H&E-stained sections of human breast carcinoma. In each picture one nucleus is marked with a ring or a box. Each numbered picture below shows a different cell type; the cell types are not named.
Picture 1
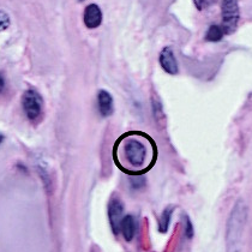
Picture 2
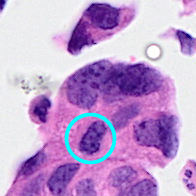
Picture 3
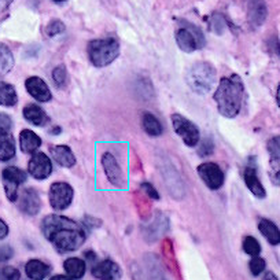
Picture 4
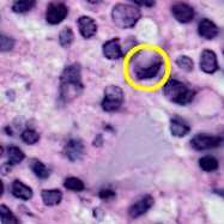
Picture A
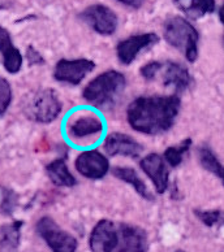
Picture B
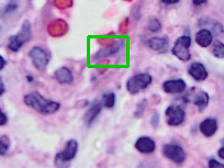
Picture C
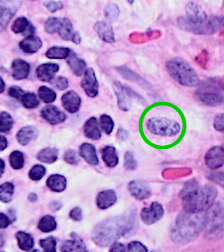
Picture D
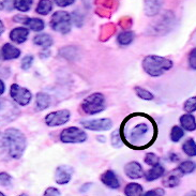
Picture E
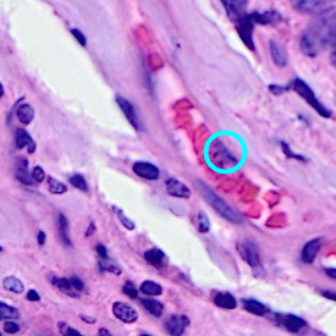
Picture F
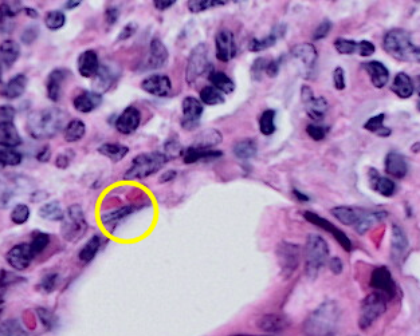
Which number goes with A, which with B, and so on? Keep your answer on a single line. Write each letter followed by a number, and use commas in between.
A 2, B 3, C 1, D 4, E 3, F 3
